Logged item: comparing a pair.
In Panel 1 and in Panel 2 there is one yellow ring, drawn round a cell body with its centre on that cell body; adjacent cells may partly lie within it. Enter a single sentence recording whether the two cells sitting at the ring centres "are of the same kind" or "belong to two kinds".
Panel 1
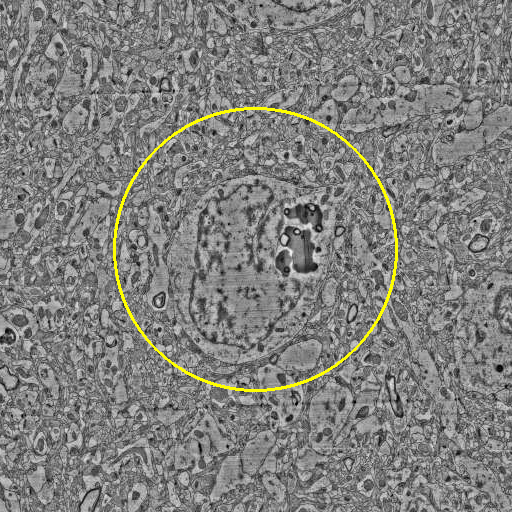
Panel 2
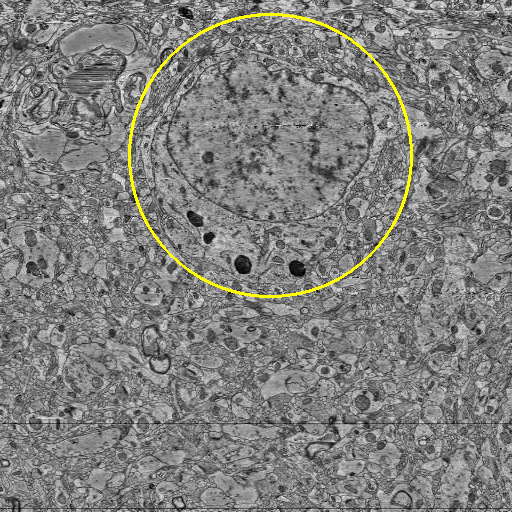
Logged: the cells centred in the rings of Panel 1 and Panel 2 belong to two kinds.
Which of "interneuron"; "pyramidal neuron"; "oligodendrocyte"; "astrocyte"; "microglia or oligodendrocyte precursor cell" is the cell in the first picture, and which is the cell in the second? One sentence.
The two differ: the first cell is an interneuron and the second is a pyramidal neuron.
